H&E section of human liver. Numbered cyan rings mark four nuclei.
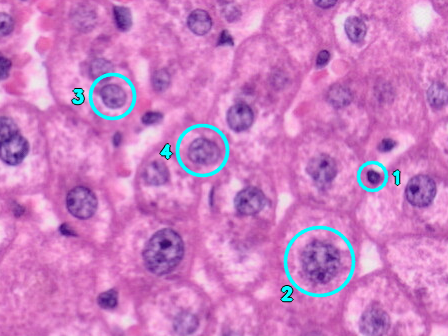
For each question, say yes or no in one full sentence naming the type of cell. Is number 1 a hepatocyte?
No, with respect, cell 1 is a fibroblast or stellate cell rather than a hepatocyte.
